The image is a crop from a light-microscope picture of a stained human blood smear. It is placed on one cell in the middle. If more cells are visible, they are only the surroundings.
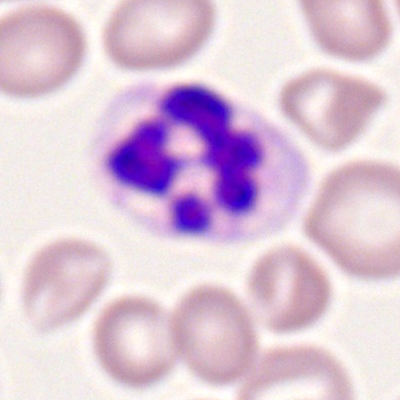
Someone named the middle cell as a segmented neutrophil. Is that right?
yes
